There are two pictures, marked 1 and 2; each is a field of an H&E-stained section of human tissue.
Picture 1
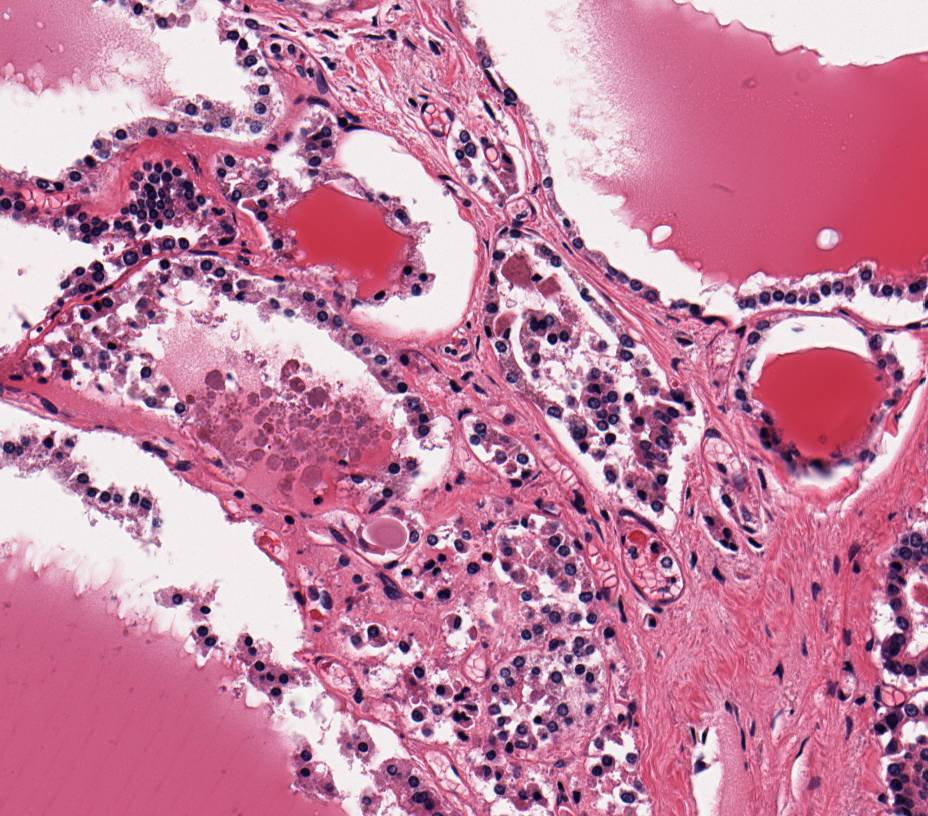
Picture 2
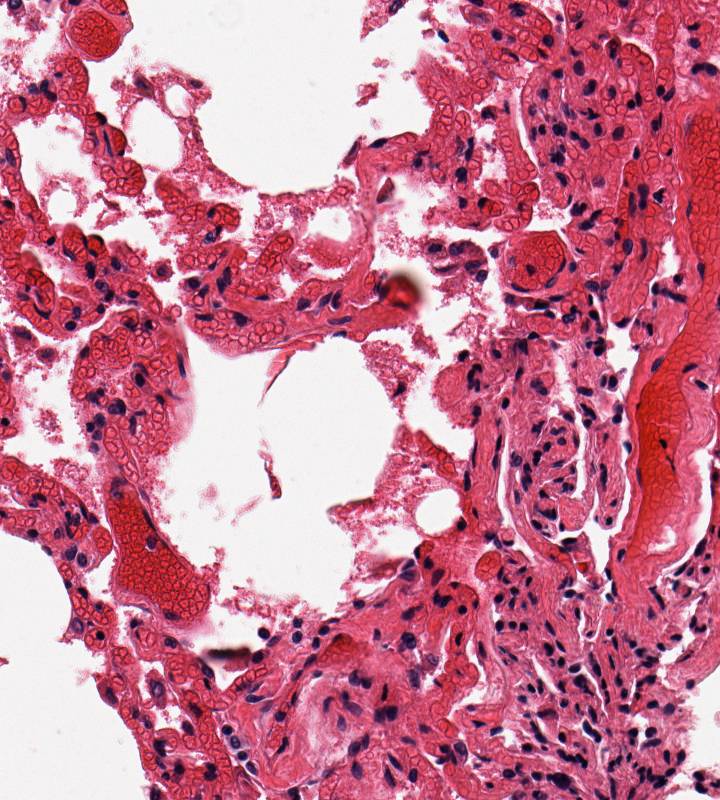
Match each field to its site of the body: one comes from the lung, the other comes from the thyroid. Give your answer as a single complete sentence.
Picture 1 comes from the thyroid and picture 2 comes from the lung.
